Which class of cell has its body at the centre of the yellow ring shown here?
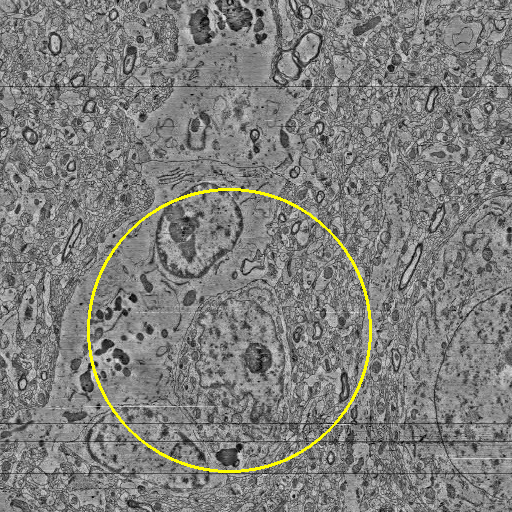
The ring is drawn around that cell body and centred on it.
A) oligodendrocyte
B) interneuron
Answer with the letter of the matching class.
B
